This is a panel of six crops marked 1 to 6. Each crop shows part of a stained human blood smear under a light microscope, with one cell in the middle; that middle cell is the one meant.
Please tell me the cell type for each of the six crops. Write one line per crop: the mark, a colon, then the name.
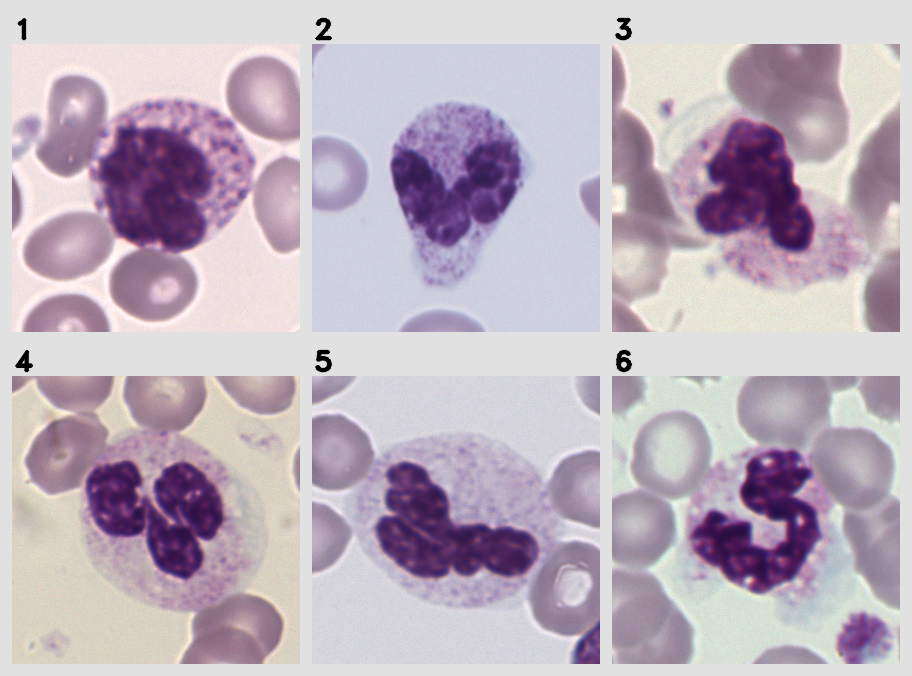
1: basophil
2: neutrophil
3: neutrophil
4: neutrophil
5: neutrophil
6: neutrophil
